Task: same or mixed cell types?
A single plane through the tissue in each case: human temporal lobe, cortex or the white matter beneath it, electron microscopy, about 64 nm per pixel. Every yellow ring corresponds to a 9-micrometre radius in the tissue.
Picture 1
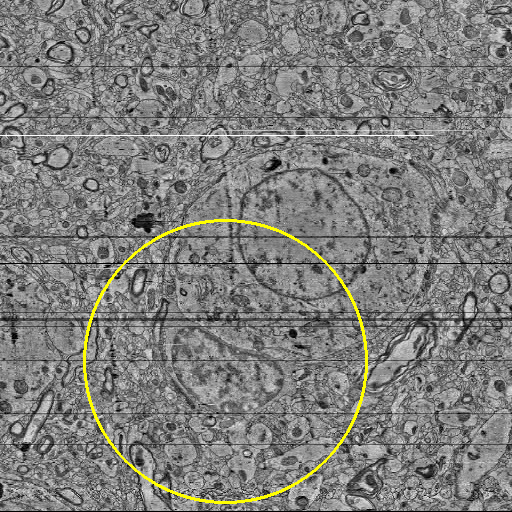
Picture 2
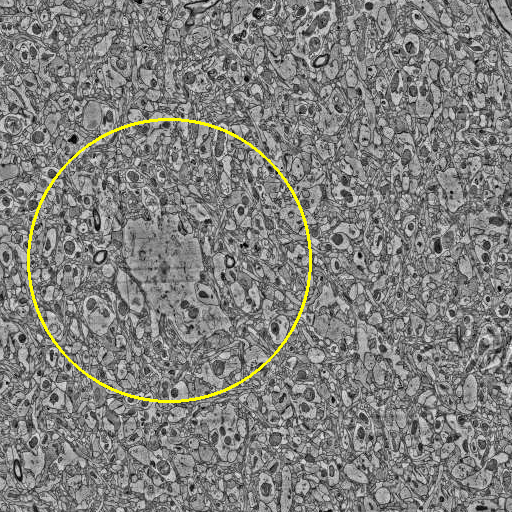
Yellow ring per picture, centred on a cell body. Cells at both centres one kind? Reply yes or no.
no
